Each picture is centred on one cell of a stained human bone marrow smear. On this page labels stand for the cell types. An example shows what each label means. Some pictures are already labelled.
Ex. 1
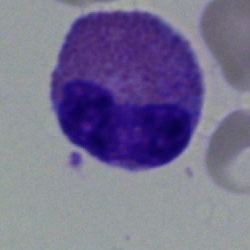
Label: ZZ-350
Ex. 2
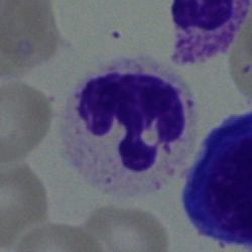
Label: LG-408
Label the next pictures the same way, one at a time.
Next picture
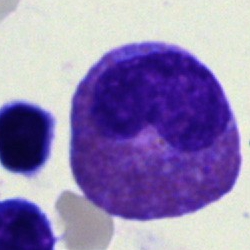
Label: ZZ-350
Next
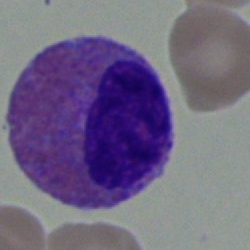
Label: ZZ-350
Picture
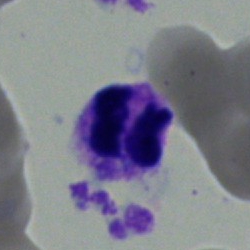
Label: LG-408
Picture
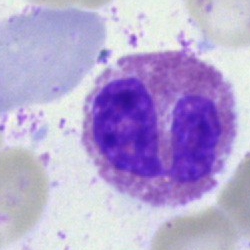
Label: ZZ-350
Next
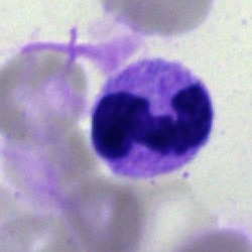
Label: LG-408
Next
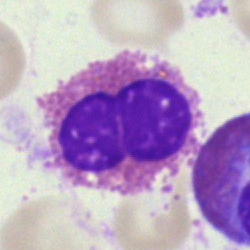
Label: ZZ-350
